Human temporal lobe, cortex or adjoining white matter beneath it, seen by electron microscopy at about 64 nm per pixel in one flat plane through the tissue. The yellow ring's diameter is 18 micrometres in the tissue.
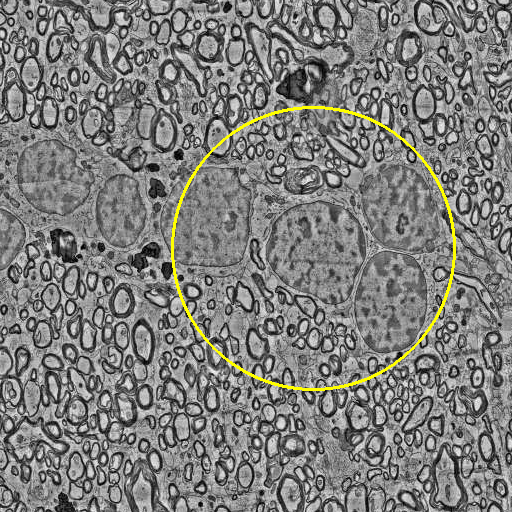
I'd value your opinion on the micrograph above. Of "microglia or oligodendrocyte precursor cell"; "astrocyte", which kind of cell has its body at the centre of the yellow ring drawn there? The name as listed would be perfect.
microglia or oligodendrocyte precursor cell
